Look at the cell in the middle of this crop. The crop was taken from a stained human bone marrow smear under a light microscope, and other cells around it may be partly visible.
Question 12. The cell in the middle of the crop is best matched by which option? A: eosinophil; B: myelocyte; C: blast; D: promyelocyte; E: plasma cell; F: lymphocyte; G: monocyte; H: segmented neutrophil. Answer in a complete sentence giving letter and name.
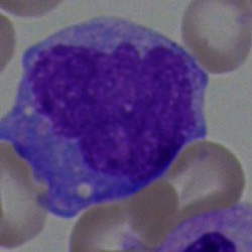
Option G holds up: the cell in the middle is a monocyte.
